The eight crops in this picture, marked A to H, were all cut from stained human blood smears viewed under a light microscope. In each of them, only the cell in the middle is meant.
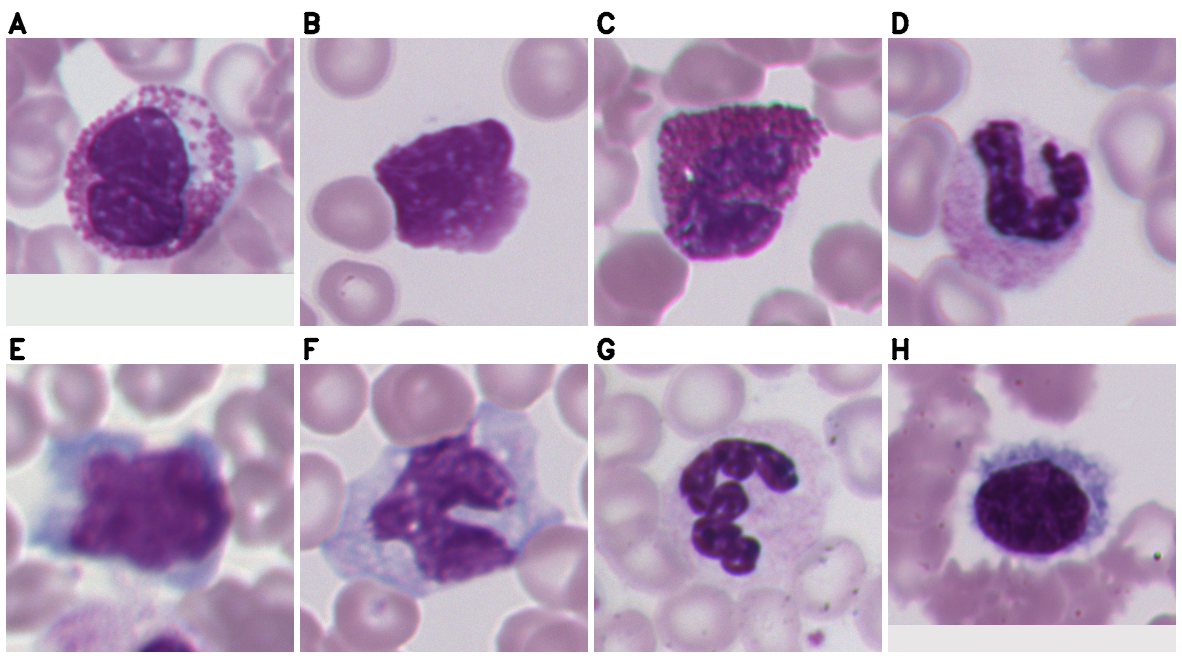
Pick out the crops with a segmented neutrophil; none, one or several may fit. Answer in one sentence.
Crops D and G display segmented neutrophils in the centre of the field.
